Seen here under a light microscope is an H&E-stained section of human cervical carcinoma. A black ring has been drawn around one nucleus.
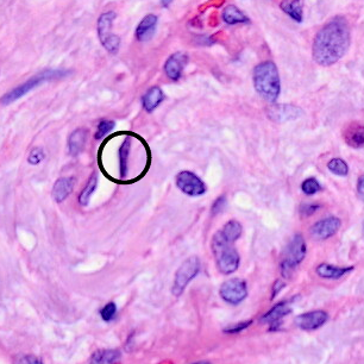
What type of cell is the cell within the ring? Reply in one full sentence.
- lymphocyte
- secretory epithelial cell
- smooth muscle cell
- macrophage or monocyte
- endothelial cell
To be brief about it, the cell within the ring is an endothelial cell.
